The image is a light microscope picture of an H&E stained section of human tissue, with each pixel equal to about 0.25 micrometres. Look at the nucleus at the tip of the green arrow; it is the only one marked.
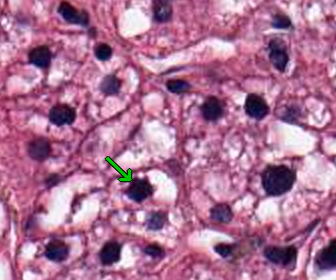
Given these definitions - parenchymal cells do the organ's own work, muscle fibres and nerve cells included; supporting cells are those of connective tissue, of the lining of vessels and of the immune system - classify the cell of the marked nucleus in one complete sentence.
The parenchymal cell with the marked nucleus is an adrenal cortical cell.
